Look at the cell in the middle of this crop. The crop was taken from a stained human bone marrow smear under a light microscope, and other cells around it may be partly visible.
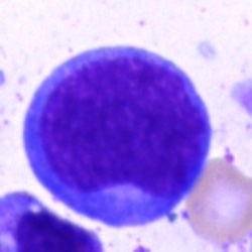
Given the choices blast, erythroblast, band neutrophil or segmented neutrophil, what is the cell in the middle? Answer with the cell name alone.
blast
